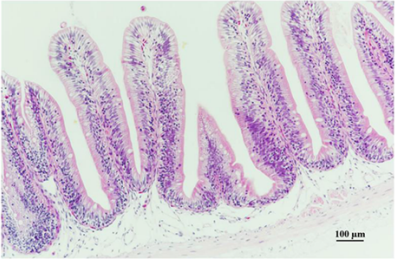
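Intestinal mucosa with long, slender villi projecting into a clear lumen, standing side by side from a common base. Each villus is covered by a tall epithelium whose nuclei stain deep purple and lie packed in the basal part of the cells, under a pink apical rim. The villus cores contain loose pink connective tissue. At the bottom, a band of pink fibrous and muscular tissue with sparse nuclei forms the wall beneath the mucosa.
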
